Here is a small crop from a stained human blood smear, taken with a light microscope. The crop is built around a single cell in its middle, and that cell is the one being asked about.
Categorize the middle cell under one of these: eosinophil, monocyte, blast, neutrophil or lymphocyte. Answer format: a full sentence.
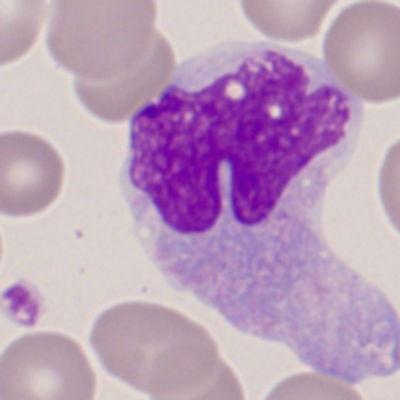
Of the cells in this crop, the central one is a monocyte.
